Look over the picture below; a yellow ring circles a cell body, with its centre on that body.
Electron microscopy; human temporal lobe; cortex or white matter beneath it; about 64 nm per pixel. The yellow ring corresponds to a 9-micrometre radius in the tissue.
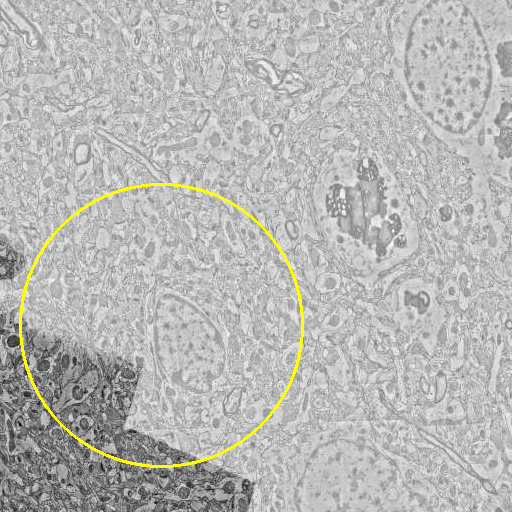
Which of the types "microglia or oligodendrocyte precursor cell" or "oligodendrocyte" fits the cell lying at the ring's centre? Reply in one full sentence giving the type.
The picture shows a microglial cell or oligodendrocyte precursor cell at the centre of the yellow ring.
